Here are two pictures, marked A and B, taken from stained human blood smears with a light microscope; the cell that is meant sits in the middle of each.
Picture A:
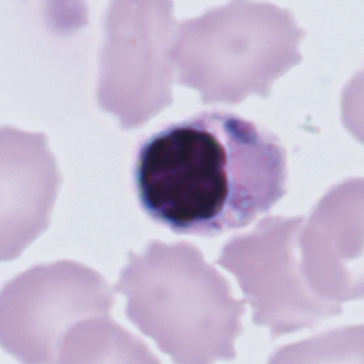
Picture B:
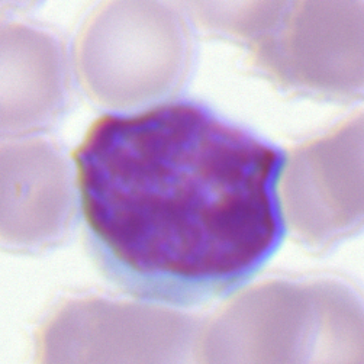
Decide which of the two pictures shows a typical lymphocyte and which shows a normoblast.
A: normoblast
B: typical lymphocyte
